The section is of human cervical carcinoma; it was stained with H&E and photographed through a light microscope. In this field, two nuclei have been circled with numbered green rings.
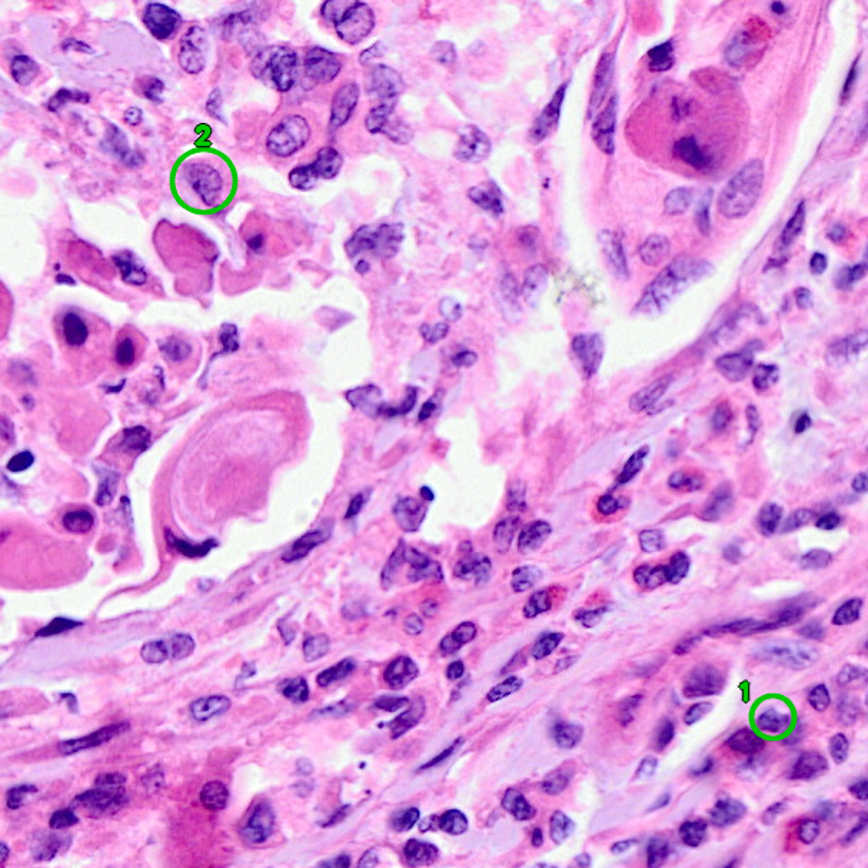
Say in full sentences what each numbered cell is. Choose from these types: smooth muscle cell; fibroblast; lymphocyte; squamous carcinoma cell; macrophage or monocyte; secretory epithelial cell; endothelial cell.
Cell 1 is a lymphocyte and cell 2 is a macrophage or monocyte.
